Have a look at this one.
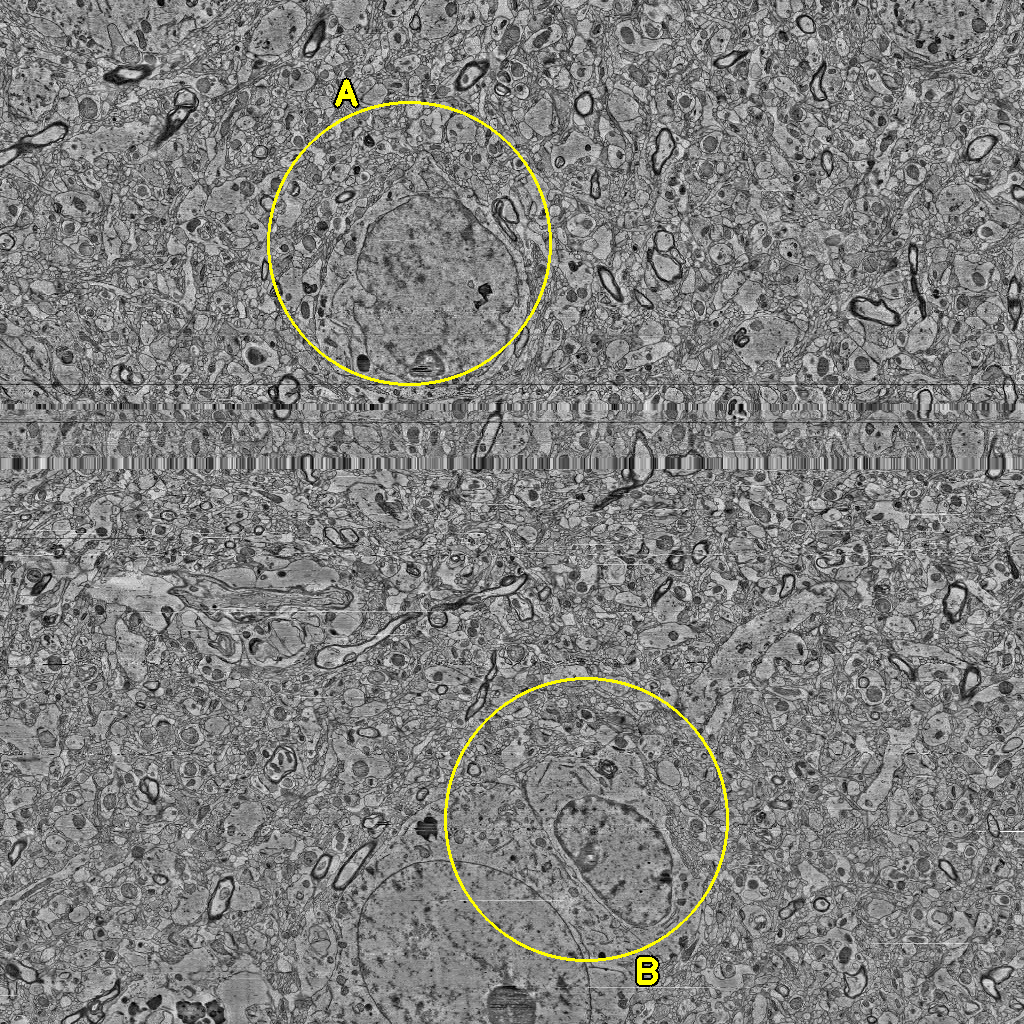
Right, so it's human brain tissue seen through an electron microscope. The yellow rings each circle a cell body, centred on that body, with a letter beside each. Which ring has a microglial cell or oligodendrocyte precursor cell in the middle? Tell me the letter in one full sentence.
That kind of cell is sitting in the middle of ring B there.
